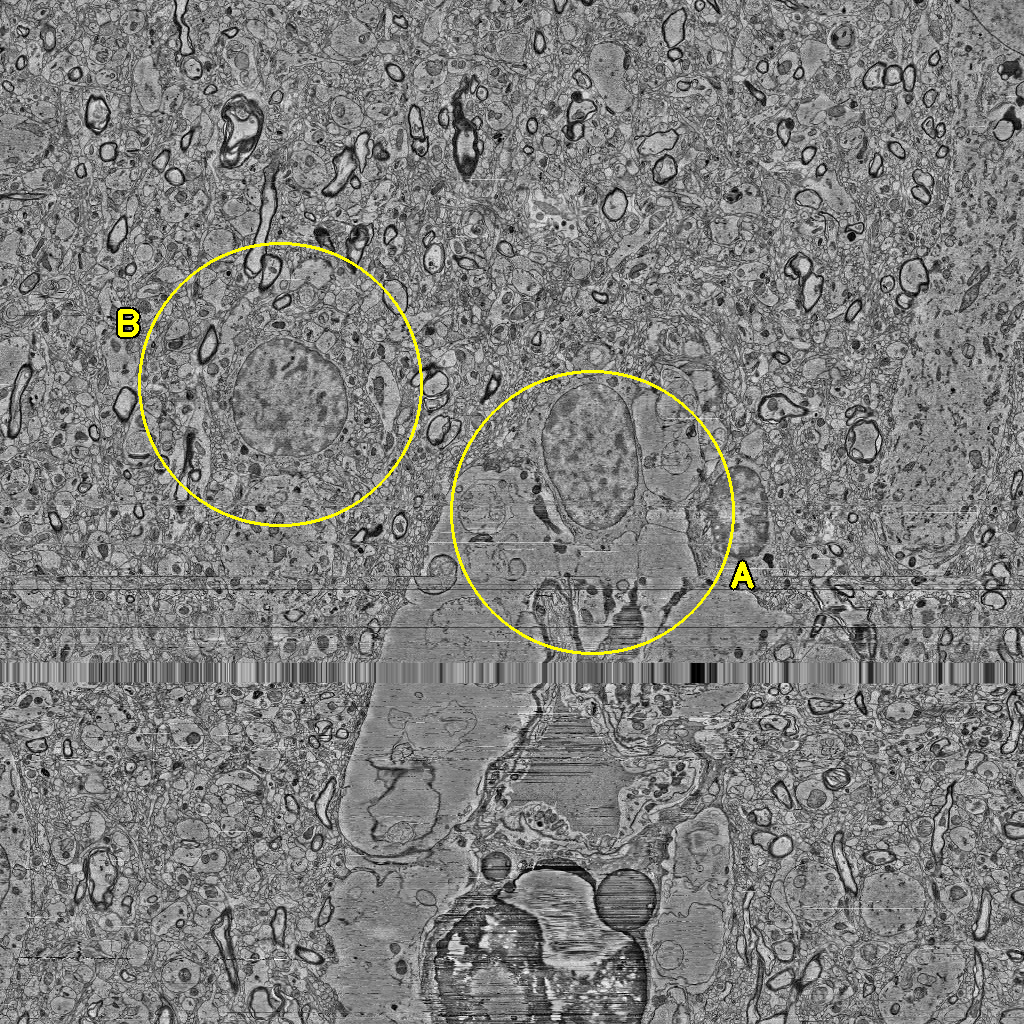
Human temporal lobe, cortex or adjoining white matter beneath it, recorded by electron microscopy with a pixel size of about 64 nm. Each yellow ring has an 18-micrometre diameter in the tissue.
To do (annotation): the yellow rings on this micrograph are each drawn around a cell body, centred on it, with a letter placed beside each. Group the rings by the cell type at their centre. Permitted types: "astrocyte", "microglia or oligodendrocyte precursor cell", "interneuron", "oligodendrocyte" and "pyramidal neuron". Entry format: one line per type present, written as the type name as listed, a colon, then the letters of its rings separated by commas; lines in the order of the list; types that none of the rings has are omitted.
oligodendrocyte: A, B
